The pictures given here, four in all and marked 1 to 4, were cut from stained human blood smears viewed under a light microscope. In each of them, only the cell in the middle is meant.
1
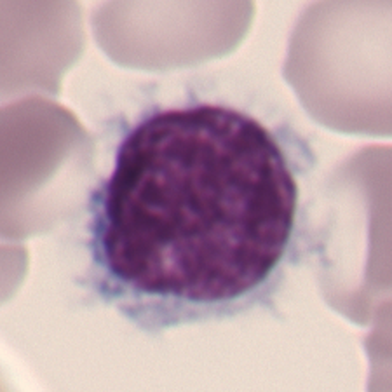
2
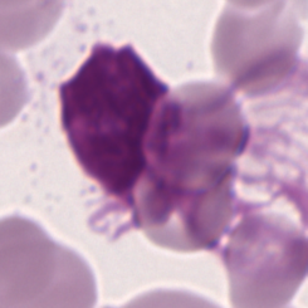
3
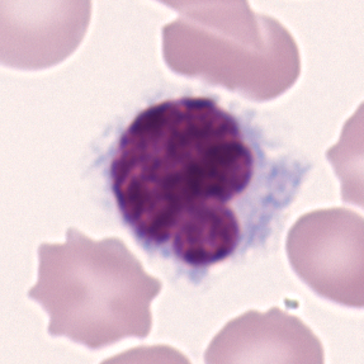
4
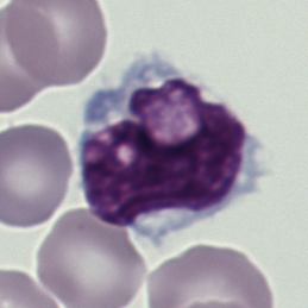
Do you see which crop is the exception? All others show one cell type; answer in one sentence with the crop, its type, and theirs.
The crop that differs is 2, which is a smudge cell; the rest are hairy cells.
